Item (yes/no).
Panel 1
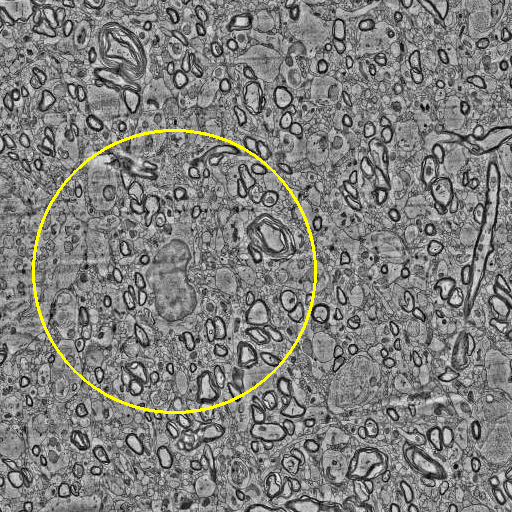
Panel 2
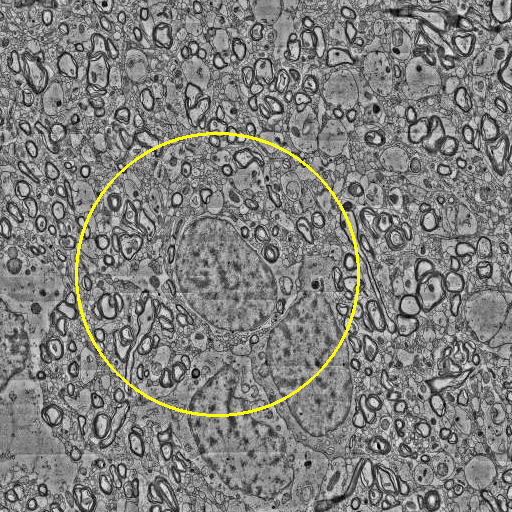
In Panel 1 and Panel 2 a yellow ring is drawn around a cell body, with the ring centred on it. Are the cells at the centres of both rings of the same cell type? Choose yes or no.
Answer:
no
